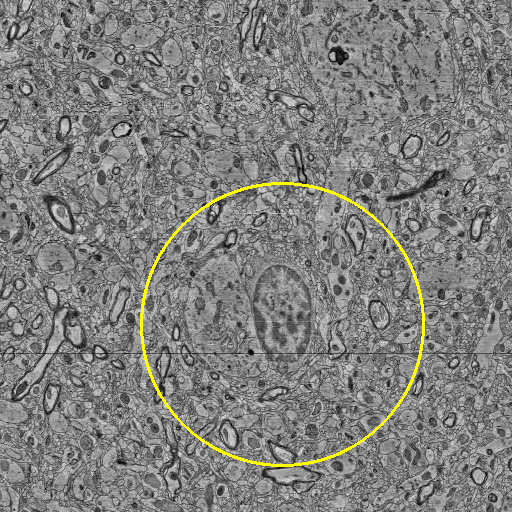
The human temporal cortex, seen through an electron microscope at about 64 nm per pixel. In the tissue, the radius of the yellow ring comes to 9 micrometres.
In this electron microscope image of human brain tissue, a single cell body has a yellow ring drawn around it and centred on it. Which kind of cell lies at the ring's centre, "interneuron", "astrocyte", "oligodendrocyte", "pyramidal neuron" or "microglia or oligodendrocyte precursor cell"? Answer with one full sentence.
It is an oligodendrocyte whose cell body lies at the centre of the yellow ring here.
